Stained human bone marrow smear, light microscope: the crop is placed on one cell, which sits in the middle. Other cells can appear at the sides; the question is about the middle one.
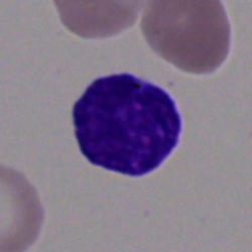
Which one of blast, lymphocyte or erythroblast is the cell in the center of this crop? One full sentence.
The crop centres on a single cell, and that cell is a blast.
